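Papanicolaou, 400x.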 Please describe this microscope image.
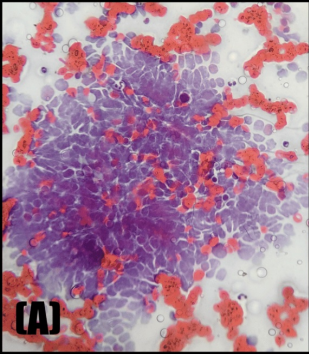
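Smear of poorly differentiated carcinoma of small cell type showing a crowded cohesive cluster of small malignant cells amid scattered red blood cells. The nuclei are dark purple with scant cytoplasm, and they are tightly packed with neighbouring nuclei molding against one another.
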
